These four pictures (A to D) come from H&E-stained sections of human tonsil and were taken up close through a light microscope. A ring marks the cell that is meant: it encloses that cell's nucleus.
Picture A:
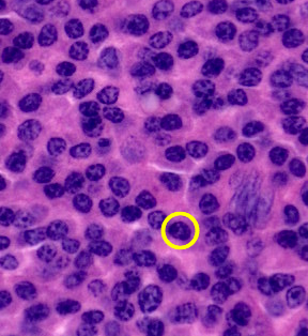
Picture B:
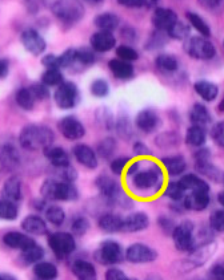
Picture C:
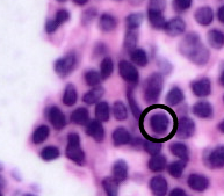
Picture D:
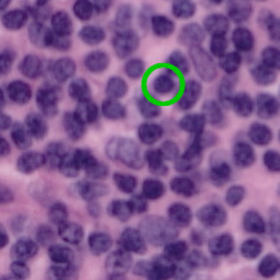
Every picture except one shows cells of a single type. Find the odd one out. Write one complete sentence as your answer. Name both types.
Picture A differs, because its cell is a plasma cell and the rest are small lymphocytes.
